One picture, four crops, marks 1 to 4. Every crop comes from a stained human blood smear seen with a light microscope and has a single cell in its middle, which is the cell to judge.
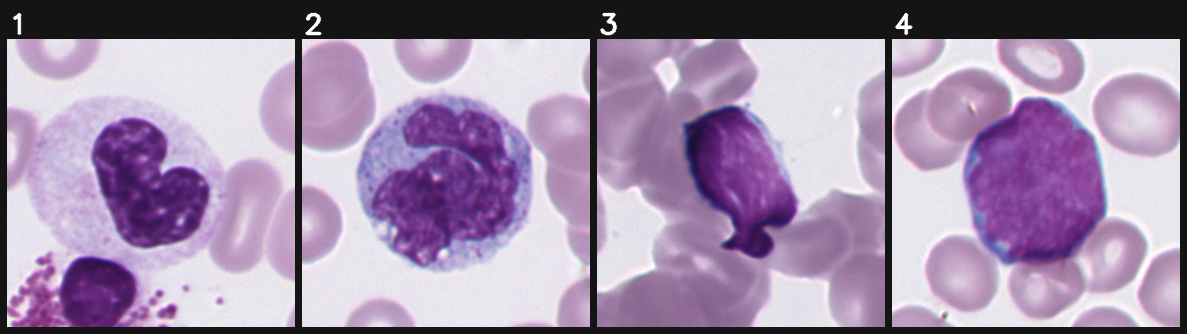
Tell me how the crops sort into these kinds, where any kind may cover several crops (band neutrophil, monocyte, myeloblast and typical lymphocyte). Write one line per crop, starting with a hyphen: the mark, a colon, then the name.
- 1: band neutrophil
- 2: monocyte
- 3: typical lymphocyte
- 4: myeloblast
